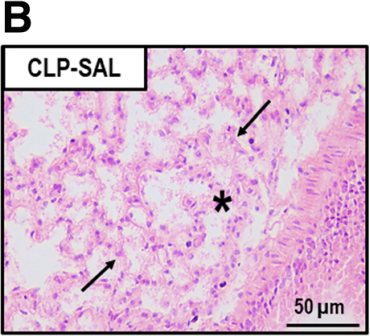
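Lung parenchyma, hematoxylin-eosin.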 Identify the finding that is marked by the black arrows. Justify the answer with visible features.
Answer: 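Alveolar septal inflammation. The arrows point to thickened septa. The septa hold many crowded nuclei.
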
